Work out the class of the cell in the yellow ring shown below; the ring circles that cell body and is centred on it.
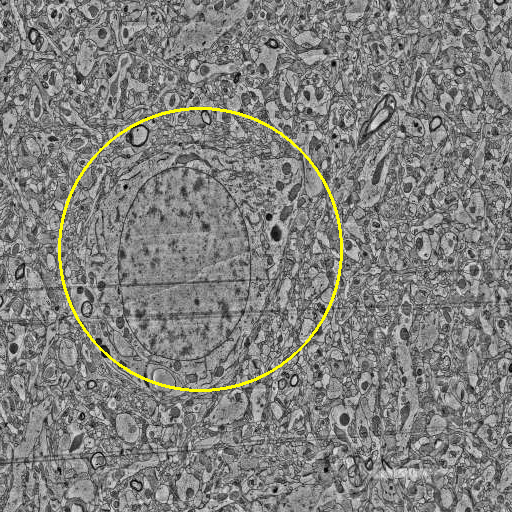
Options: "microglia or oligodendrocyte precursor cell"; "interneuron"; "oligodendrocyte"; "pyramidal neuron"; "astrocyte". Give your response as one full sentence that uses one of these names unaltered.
The body ringed in yellow, right at the ring's centre, is that of a pyramidal neuron.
